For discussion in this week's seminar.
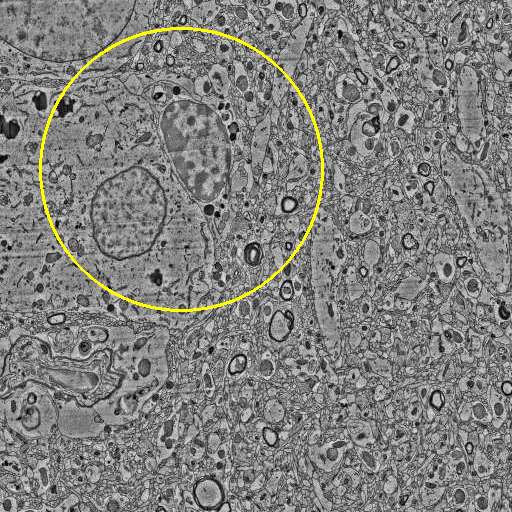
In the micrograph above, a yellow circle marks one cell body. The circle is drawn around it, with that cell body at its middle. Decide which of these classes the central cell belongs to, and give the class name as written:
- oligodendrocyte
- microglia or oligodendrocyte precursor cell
microglia or oligodendrocyte precursor cell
